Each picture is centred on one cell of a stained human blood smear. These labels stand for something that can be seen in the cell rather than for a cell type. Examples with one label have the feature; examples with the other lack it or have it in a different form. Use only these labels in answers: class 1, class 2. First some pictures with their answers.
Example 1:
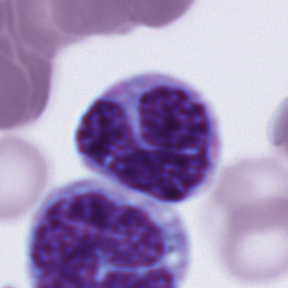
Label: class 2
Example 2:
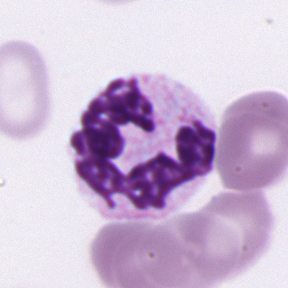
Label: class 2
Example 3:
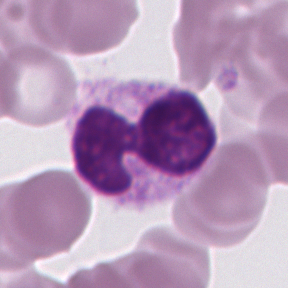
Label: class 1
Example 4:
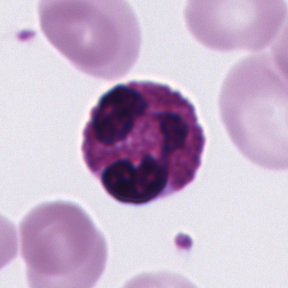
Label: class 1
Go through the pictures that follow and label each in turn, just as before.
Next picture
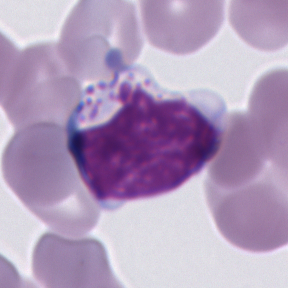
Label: class 1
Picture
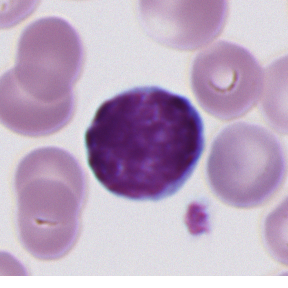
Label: class 2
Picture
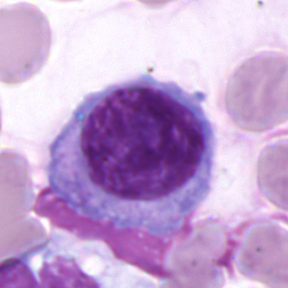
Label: class 2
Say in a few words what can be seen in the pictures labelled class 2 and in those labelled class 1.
class 2, smooth outline; class 1, ragged outline or projections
